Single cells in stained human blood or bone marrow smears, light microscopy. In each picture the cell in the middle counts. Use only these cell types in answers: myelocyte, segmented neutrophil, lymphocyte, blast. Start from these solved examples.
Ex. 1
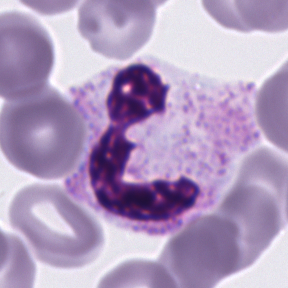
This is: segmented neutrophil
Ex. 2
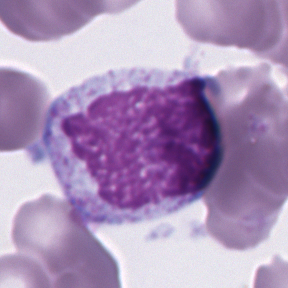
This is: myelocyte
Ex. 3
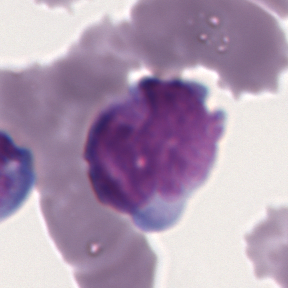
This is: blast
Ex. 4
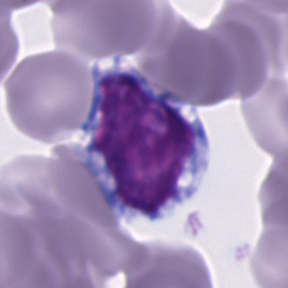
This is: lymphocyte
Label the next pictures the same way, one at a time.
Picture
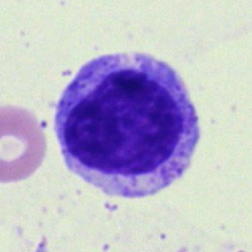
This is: myelocyte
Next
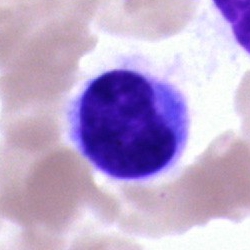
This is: lymphocyte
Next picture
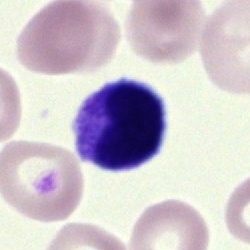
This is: lymphocyte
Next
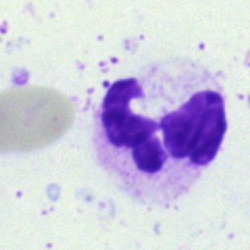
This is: segmented neutrophil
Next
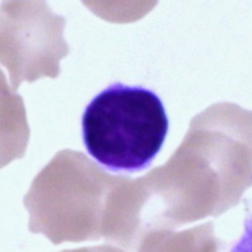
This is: lymphocyte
